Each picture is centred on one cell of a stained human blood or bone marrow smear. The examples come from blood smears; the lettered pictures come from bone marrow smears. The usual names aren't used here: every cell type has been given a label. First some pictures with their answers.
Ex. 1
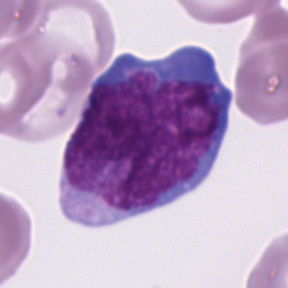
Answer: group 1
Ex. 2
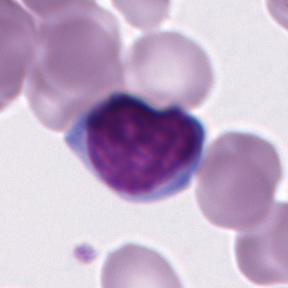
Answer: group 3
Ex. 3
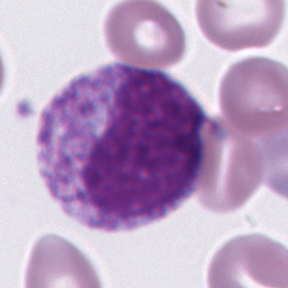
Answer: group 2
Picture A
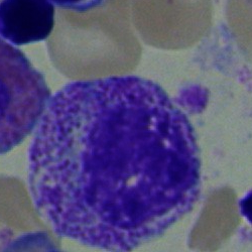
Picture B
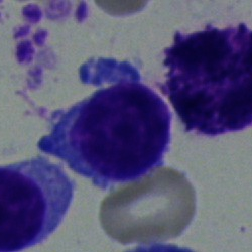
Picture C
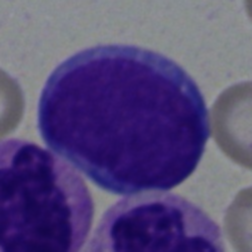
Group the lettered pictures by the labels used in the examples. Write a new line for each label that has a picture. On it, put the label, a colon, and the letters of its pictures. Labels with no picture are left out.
group 1: C
group 3: B
group 2: A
